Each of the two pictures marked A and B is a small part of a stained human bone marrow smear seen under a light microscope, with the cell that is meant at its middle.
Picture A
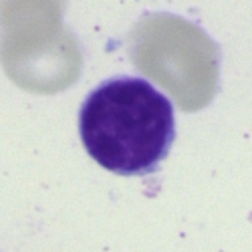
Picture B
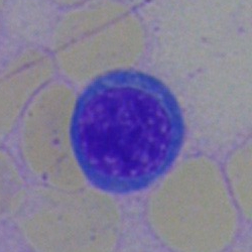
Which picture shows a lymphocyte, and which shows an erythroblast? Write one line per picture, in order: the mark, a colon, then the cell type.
A: lymphocyte
B: erythroblast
